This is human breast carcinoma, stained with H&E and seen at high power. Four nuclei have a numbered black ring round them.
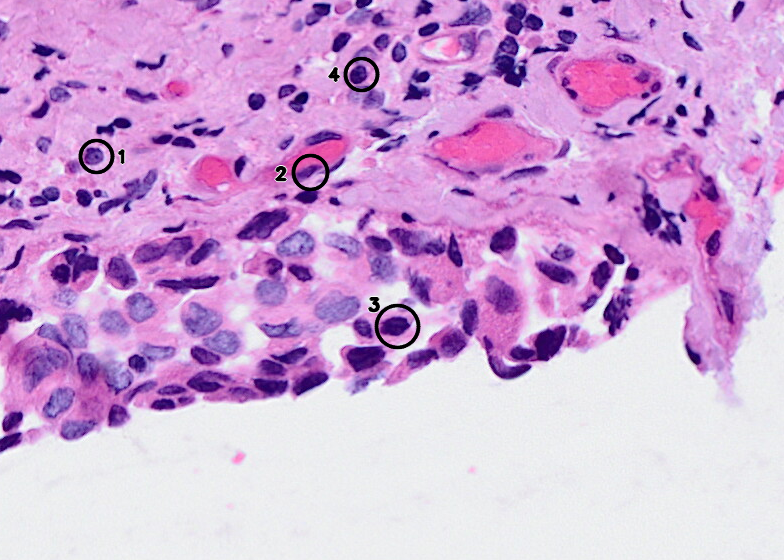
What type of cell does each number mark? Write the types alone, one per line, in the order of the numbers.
lymphocyte
endothelial cell
carcinoma cell
lymphocyte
